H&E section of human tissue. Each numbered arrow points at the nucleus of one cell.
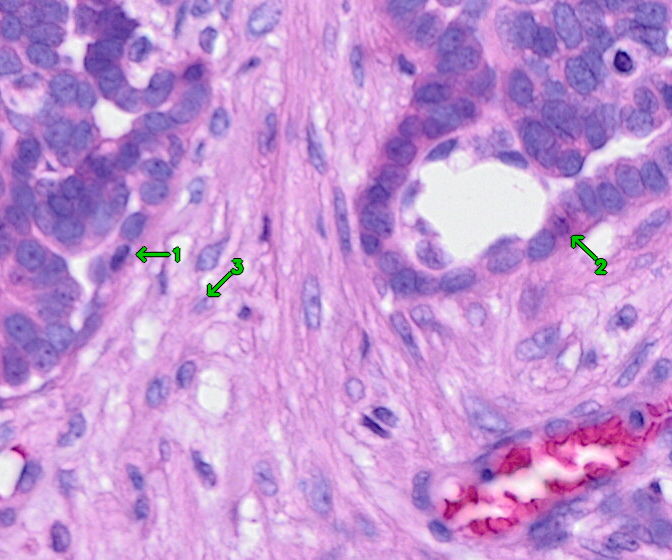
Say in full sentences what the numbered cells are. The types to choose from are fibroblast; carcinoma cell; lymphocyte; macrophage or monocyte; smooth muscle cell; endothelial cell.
Cell 1 is a macrophage or monocyte, cell 2 is a carcinoma cell and cell 3 is a fibroblast.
